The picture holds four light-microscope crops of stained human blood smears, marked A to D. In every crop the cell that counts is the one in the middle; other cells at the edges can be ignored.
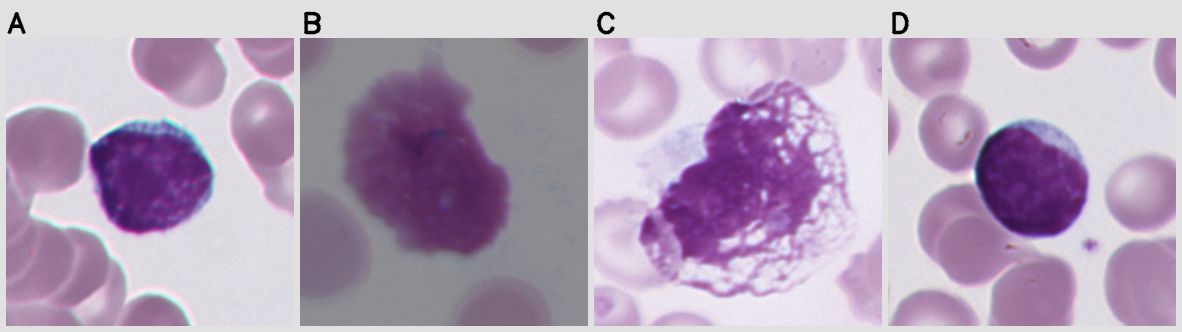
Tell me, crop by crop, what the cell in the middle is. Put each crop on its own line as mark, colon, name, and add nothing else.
A: typical lymphocyte
B: smudge cell
C: smudge cell
D: typical lymphocyte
